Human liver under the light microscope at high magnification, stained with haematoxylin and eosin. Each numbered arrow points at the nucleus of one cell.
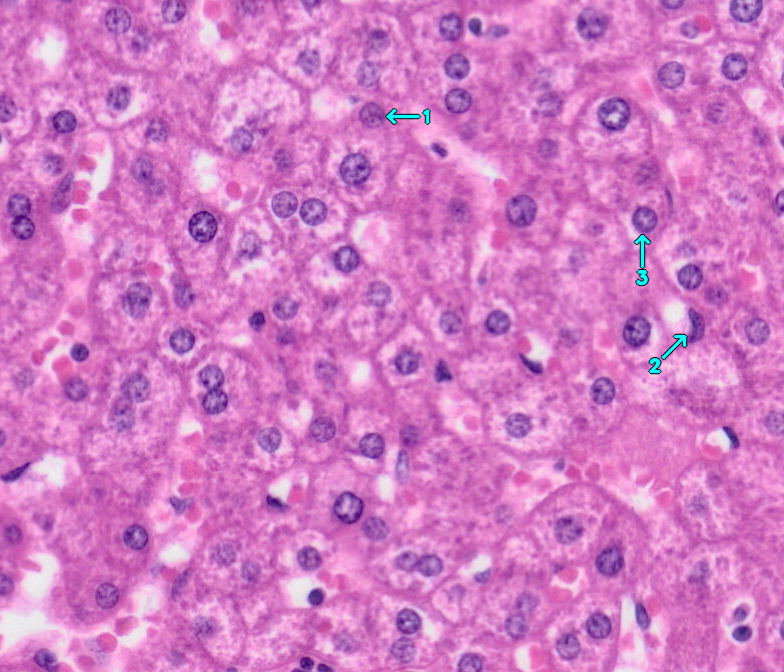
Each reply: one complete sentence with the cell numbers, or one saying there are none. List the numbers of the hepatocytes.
On this slide, the cells numbered 1 and 3 are hepatocytes.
